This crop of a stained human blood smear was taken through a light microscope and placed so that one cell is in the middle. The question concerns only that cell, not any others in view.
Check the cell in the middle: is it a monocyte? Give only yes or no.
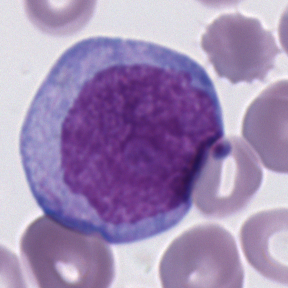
no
